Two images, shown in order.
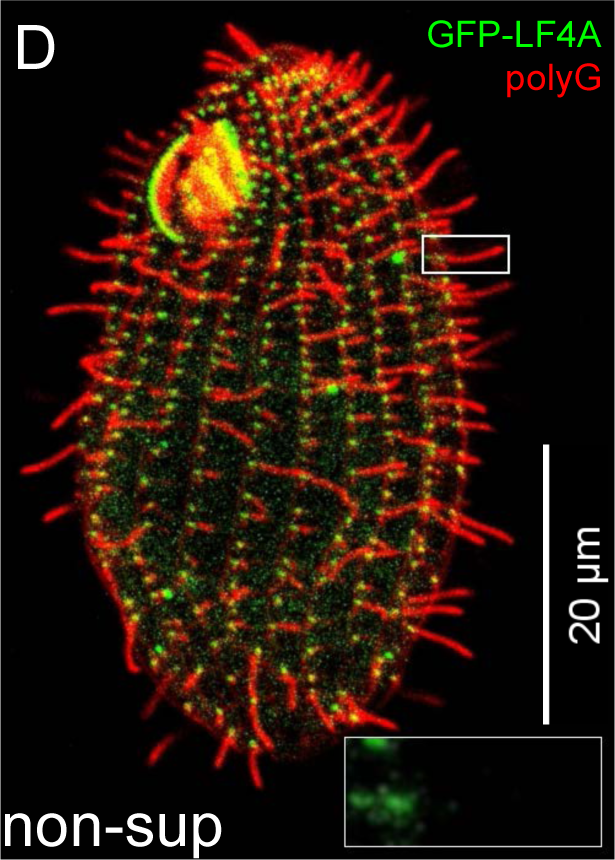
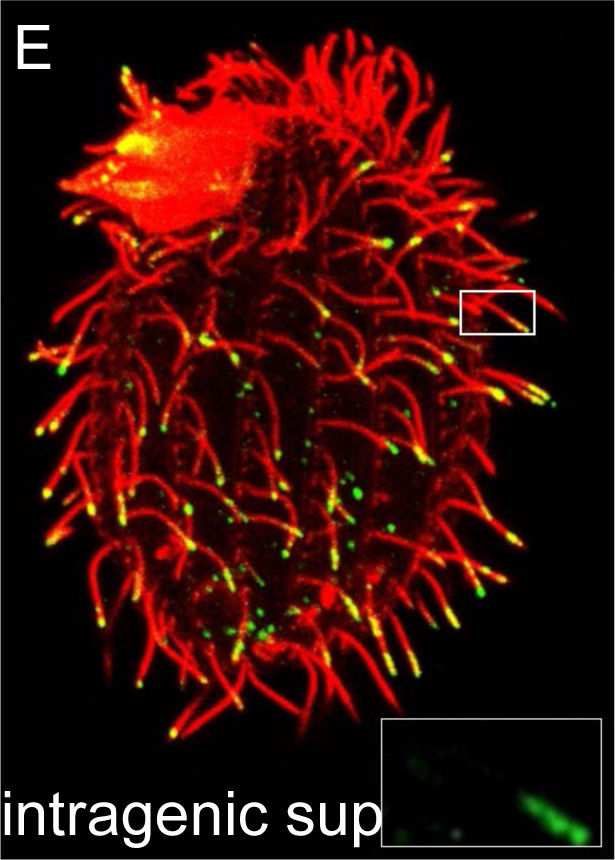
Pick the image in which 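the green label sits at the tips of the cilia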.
The second image.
